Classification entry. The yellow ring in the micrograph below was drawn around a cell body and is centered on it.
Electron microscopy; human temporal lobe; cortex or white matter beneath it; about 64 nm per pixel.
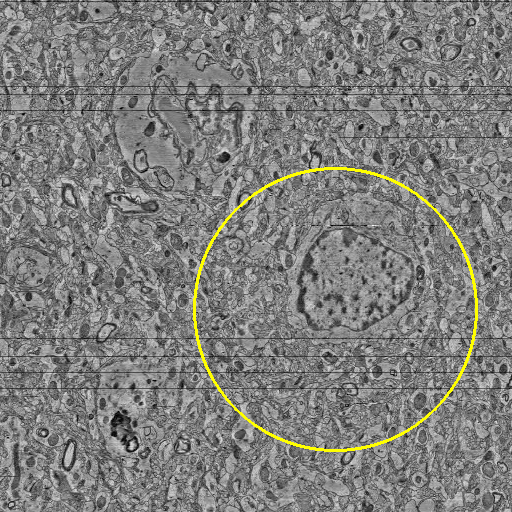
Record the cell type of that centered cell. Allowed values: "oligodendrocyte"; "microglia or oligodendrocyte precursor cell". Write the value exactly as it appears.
microglia or oligodendrocyte precursor cell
